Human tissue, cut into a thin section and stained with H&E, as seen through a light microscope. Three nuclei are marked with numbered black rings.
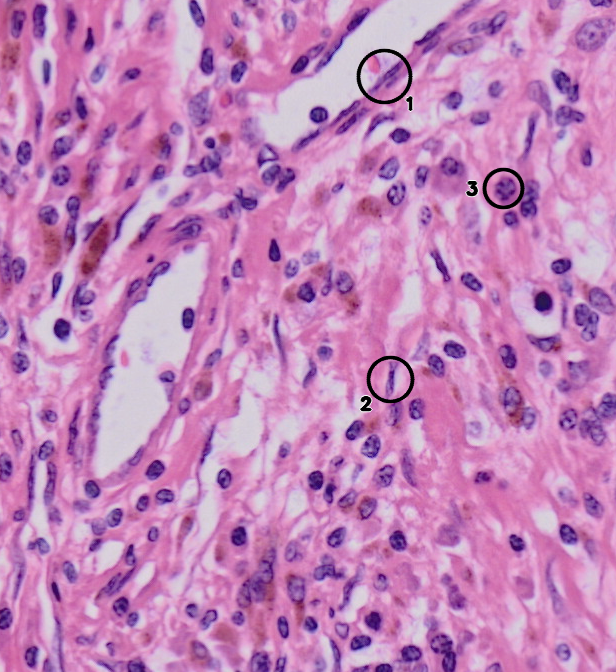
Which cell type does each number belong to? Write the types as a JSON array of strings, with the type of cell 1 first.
["endothelial cell", "fibroblast or myofibroblast", "plasma cell"]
